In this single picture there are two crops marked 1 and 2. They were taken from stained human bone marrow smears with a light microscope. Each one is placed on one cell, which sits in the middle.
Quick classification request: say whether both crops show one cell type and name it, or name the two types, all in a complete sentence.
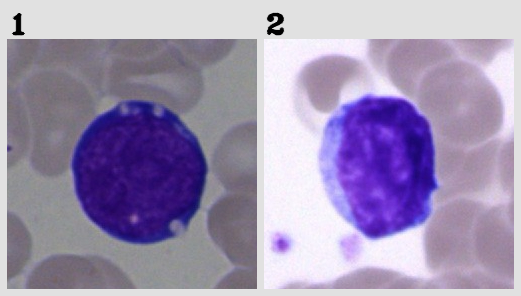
No: a blast sits in crop 1, and a lymphocyte sits in crop 2.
